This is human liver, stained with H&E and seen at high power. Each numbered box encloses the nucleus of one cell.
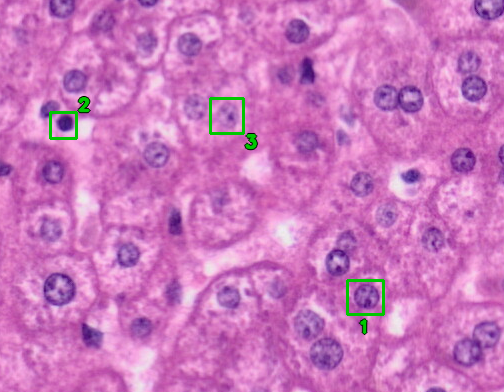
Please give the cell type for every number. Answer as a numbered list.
1. hepatocyte
2. lymphocyte
3. hepatocyte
